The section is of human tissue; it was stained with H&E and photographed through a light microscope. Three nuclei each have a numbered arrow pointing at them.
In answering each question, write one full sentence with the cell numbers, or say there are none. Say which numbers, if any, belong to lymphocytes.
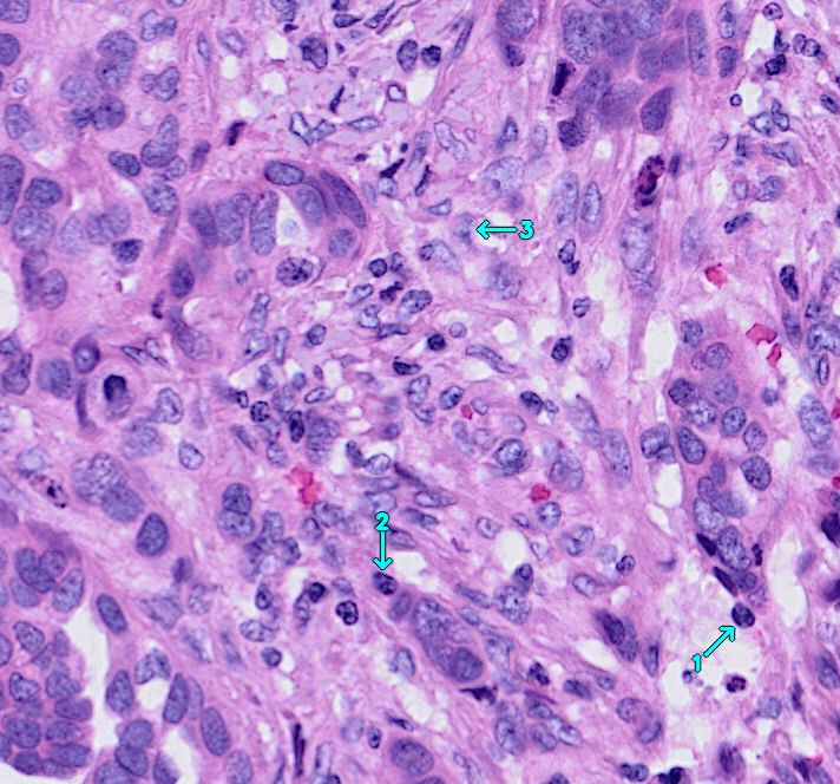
The cells tagged with numbers 1 and 2 are lymphocytes.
